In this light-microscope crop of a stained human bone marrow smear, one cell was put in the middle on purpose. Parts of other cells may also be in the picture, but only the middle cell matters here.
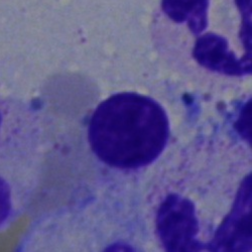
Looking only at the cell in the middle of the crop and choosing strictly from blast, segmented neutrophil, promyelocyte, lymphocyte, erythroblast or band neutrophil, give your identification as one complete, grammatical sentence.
Positioned in the middle of the crop is a lymphocyte.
